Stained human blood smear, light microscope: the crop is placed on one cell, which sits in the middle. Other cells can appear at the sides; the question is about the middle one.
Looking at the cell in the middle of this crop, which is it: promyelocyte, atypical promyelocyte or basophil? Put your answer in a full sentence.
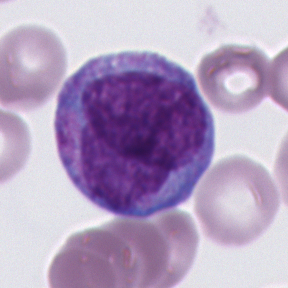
Centred in the crop is an atypical promyelocyte.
